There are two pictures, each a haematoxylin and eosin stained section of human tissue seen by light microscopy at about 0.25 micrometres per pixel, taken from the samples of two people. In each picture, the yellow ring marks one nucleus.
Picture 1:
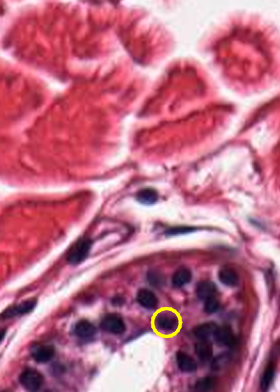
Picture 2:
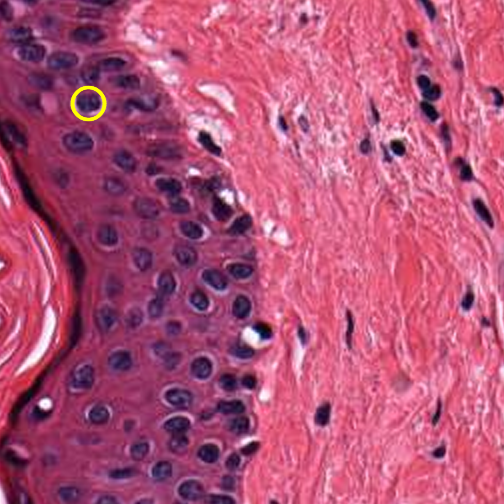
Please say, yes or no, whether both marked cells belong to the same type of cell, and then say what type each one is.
No, the first is a sweat gland cell and the second a keratinocyte.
